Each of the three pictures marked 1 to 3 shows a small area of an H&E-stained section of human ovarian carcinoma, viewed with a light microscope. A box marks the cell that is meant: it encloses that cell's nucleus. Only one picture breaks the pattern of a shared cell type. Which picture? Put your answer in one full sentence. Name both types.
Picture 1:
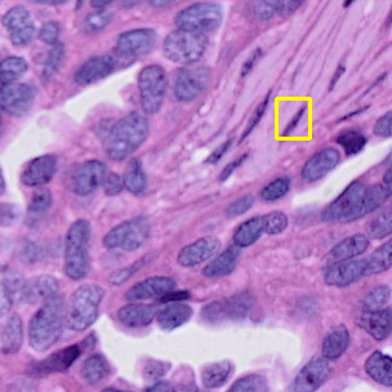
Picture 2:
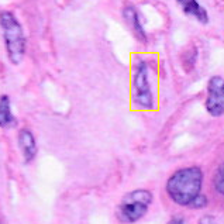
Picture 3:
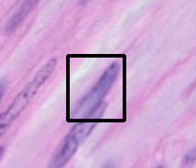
Picture 3 differs, because its cell is a smooth muscle cell and the rest are fibroblasts.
